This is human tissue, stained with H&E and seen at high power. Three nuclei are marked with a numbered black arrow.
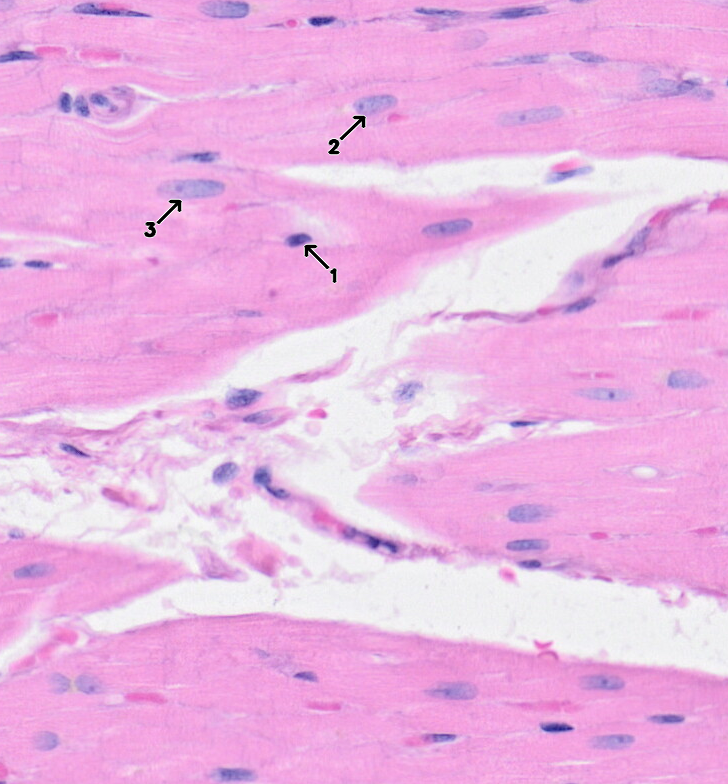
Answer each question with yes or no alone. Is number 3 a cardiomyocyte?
yes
